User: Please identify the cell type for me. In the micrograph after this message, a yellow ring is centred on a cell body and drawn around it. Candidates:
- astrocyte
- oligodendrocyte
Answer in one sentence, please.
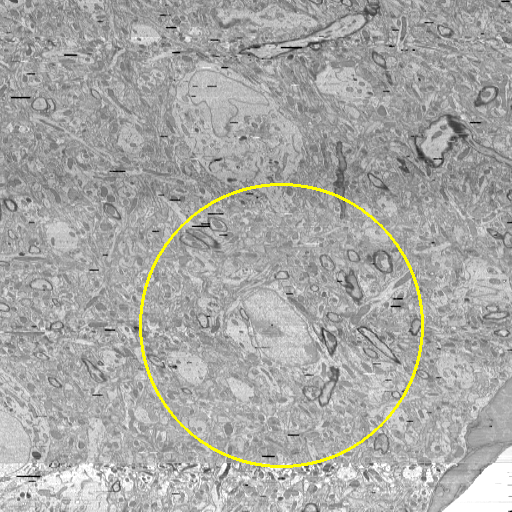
The ring is drawn around the cell body of an astrocyte.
